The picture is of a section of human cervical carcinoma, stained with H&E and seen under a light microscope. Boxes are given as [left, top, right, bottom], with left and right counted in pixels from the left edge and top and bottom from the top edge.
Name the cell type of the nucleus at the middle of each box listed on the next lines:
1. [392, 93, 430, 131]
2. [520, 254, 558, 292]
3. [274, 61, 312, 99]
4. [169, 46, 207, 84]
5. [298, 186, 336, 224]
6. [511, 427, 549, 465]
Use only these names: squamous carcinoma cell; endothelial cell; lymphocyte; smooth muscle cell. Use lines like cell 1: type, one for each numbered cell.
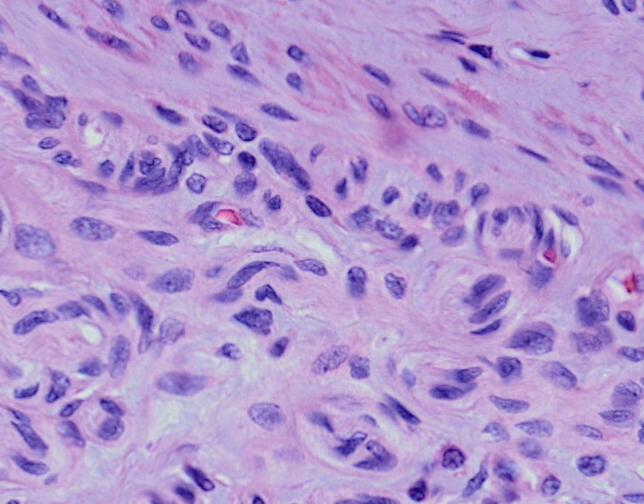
cell 1: smooth muscle cell
cell 2: endothelial cell
cell 3: smooth muscle cell
cell 4: smooth muscle cell
cell 5: lymphocyte
cell 6: endothelial cell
